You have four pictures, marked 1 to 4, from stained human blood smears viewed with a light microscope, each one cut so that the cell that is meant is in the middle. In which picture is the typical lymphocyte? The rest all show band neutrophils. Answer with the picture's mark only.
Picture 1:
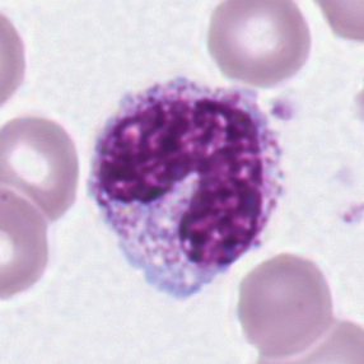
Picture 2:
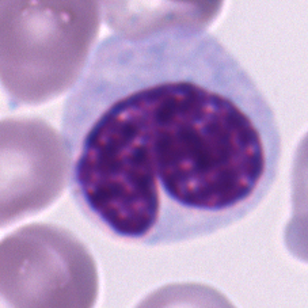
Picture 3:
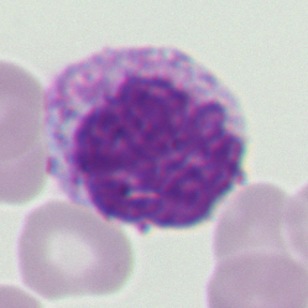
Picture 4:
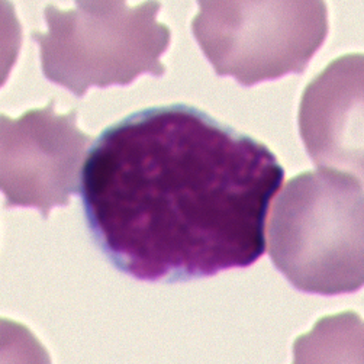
4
